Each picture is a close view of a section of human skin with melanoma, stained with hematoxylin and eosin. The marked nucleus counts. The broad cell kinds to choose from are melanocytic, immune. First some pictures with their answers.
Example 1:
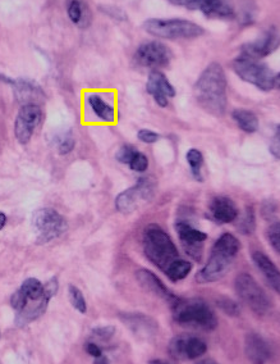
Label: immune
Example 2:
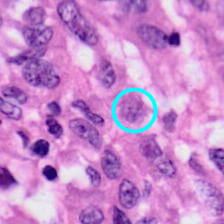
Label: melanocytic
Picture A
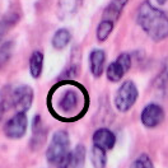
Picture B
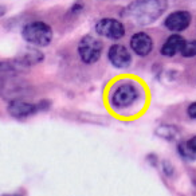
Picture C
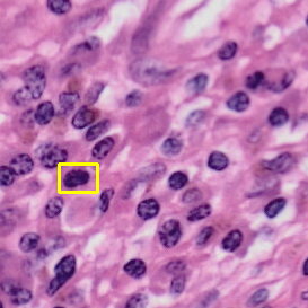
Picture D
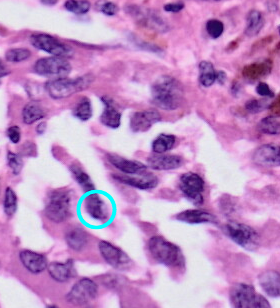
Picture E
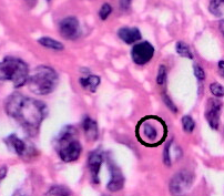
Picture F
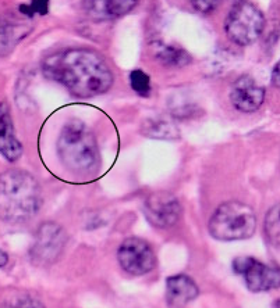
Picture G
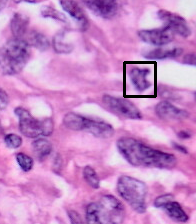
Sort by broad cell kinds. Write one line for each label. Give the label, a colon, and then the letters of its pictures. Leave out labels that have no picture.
melanocytic: D, F, G
immune: A, B, C, E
